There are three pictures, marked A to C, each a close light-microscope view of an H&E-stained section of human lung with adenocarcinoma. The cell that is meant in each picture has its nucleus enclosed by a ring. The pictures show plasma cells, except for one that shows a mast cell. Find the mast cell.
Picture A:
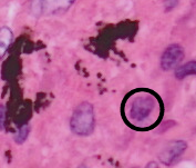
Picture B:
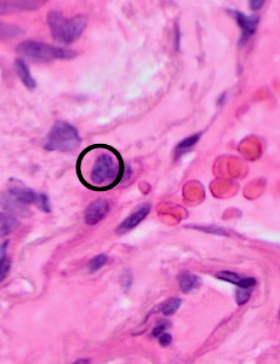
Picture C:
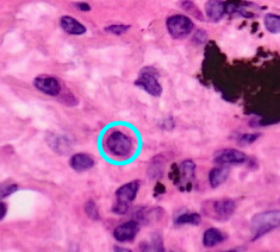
B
